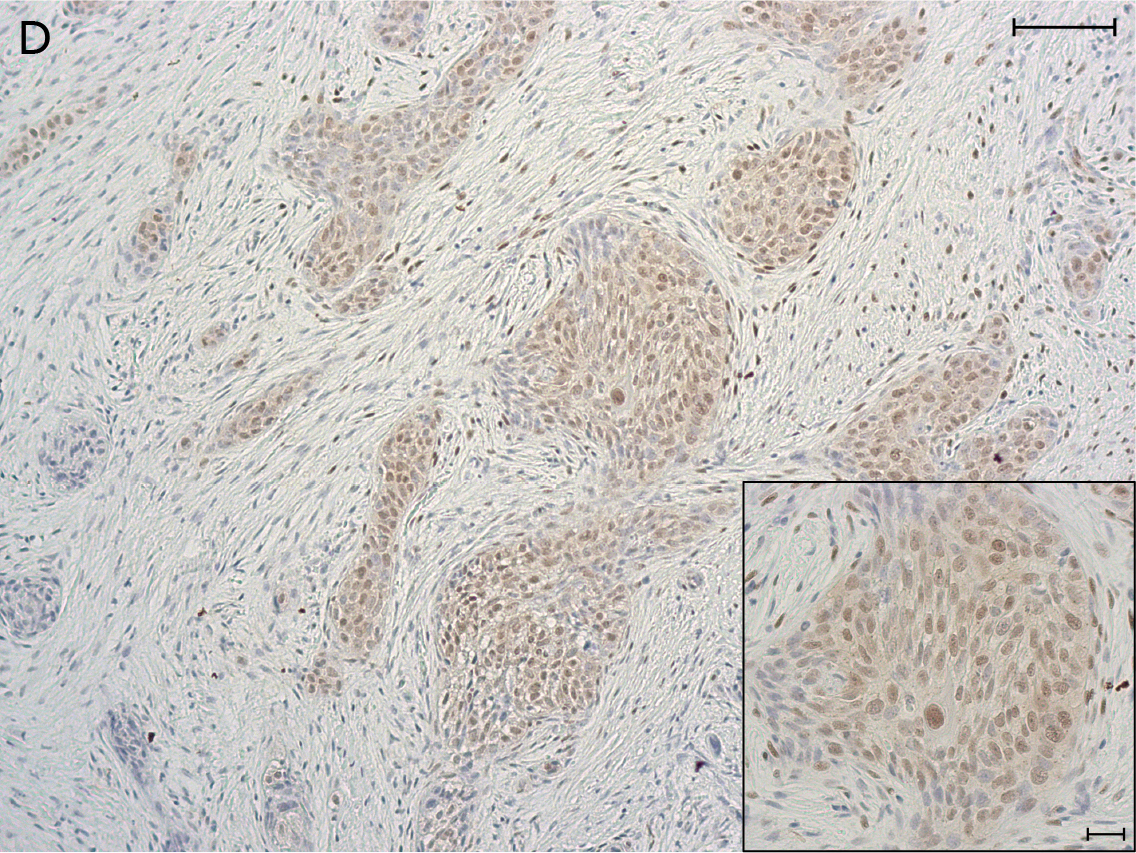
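This shows a tumor built of rounded nests and branching cords of epithelial tumor cells lying in a loose fibrous stroma full of thin spindle-shaped cells. The tumor cells carry large oval nuclei that are tinged light brown, while their cytoplasm stays pale; scattered stromal nuclei are also brown. Some small nests at the edges are stained only blue.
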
